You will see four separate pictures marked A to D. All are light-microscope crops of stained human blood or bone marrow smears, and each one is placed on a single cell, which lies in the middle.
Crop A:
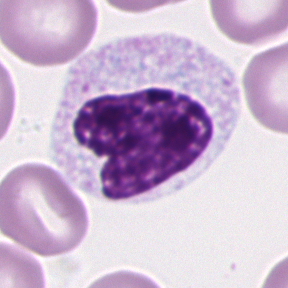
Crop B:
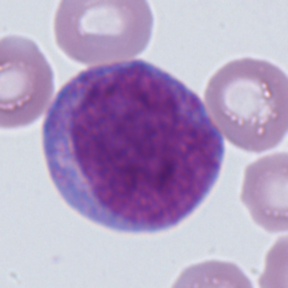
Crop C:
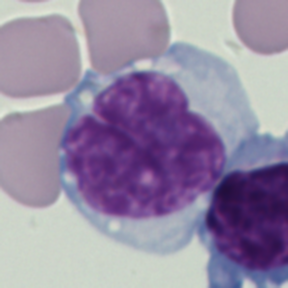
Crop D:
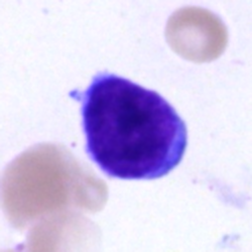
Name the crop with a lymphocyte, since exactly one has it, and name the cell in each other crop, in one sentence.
To sum up, crop D shows a lymphocyte, while crop A is a band neutrophil, crop B is a promyelocyte and crop C is a blast.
